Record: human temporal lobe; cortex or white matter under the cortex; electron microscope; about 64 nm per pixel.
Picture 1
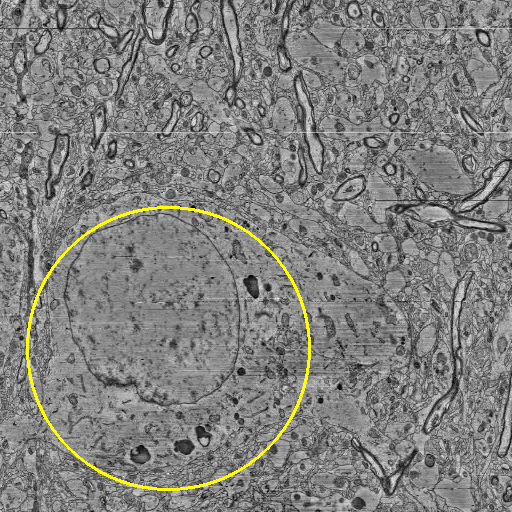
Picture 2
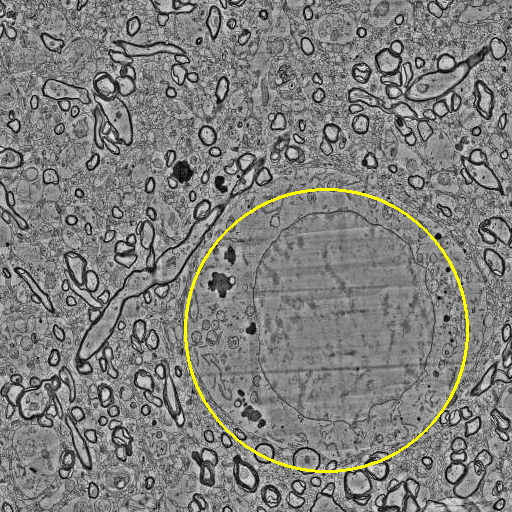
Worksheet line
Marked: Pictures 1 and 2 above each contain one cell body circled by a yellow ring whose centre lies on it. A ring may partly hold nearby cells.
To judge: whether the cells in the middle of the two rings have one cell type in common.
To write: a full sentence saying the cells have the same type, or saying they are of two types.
The cells in the middle of the rings in Picture 1 and Picture 2 have the same type.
